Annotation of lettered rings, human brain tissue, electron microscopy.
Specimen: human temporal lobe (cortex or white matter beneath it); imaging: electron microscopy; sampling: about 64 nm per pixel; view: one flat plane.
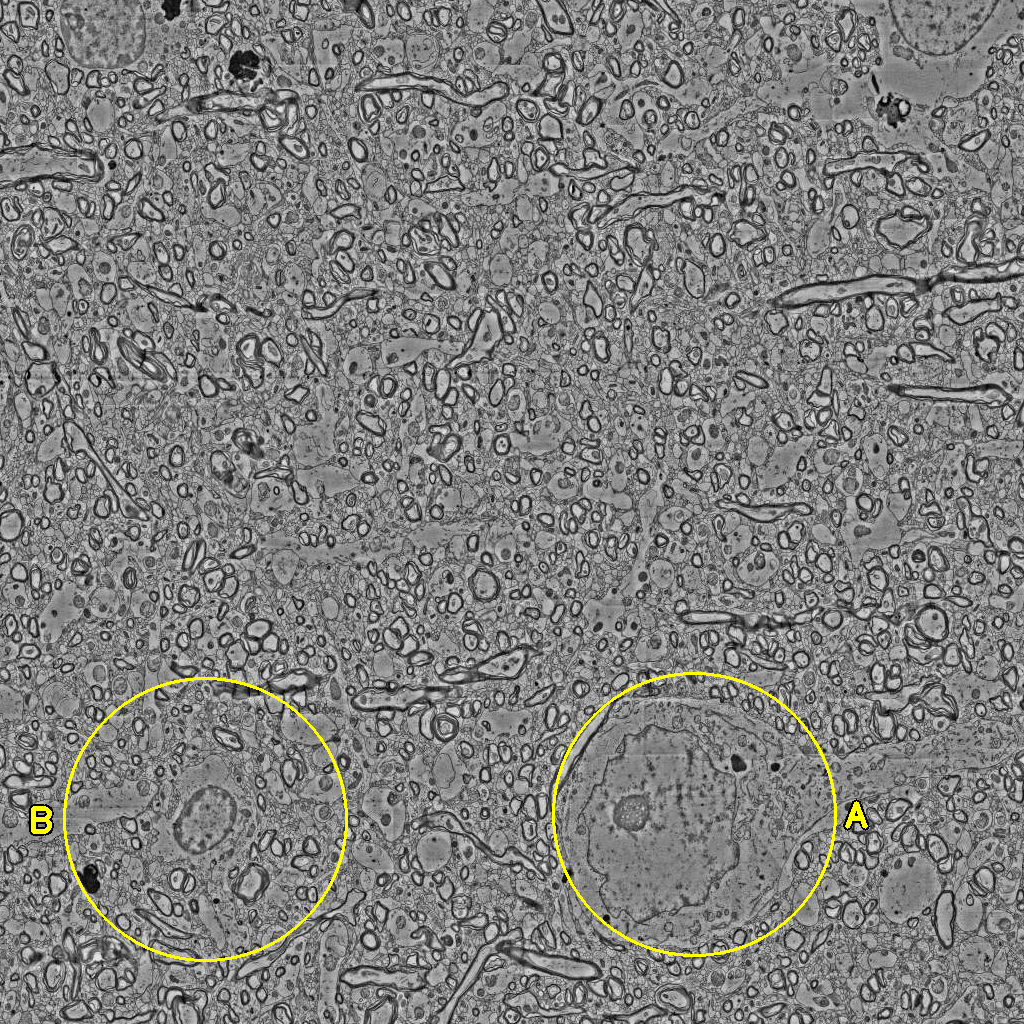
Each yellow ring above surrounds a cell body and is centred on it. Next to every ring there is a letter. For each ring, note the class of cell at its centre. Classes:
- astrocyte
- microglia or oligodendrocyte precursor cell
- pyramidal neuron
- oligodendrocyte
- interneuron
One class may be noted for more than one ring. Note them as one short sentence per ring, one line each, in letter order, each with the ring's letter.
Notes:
The class noted at ring A is a pyramidal neuron.
The class noted at ring B is a microglial cell or oligodendrocyte precursor cell.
